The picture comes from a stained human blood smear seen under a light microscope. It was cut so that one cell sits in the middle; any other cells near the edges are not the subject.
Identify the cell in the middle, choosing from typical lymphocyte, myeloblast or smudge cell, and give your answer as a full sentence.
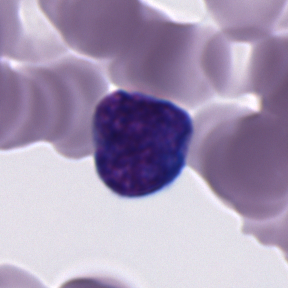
Occupying the centre of the crop is a typical lymphocyte.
